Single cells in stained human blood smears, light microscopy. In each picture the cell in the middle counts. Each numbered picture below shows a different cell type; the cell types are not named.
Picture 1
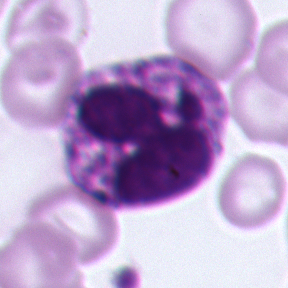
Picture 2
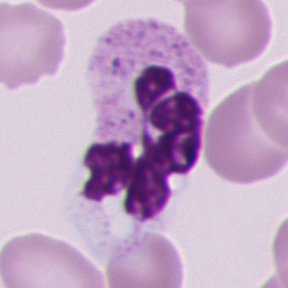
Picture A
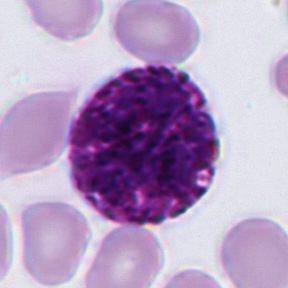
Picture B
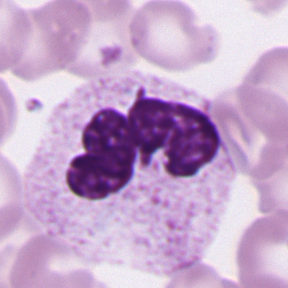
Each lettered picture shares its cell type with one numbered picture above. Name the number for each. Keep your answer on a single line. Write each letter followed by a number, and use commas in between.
A 1, B 2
